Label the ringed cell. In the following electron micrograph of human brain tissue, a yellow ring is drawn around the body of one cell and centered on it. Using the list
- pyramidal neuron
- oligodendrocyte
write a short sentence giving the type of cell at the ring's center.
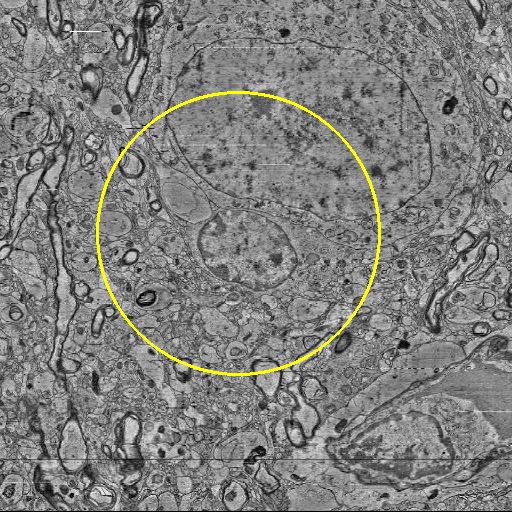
The cell body at the ring's center is that of an oligodendrocyte.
